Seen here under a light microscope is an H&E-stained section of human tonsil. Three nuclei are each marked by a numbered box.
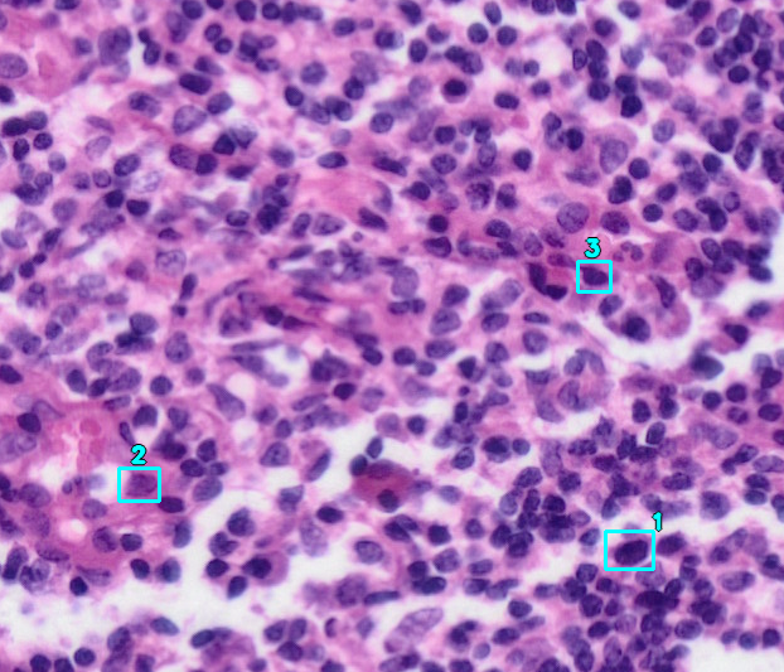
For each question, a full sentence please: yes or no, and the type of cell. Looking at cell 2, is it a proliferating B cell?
No, it's not a proliferating B cell at number 2; that cell is an endothelial cell.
